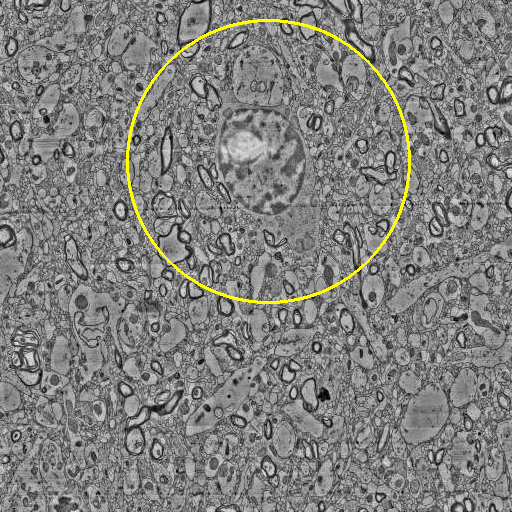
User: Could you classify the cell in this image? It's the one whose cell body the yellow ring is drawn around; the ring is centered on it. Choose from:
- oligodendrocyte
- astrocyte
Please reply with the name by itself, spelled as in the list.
oligodendrocyte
